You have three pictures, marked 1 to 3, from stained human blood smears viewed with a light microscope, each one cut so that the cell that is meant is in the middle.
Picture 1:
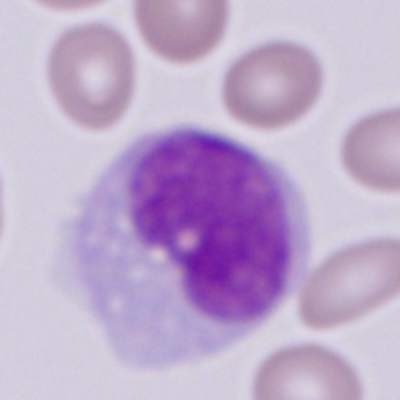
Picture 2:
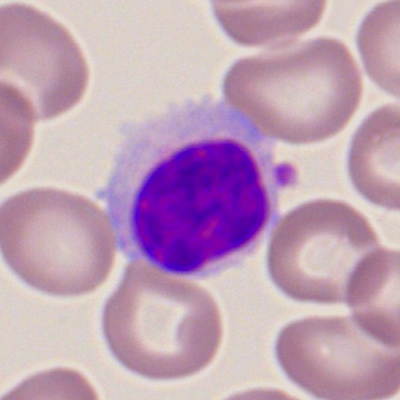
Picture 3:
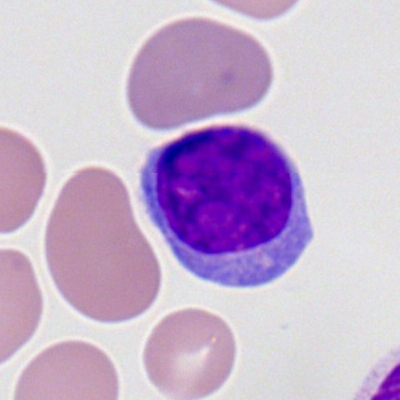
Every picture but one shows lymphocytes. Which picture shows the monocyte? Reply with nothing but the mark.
1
